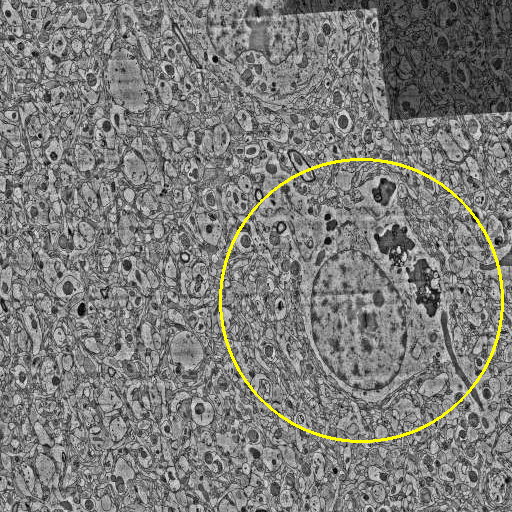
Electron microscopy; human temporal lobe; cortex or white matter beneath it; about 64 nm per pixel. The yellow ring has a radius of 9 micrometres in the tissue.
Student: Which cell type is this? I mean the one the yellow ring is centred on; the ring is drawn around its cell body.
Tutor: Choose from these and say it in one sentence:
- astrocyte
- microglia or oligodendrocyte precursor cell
The cell the ring is centred on is an astrocyte.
